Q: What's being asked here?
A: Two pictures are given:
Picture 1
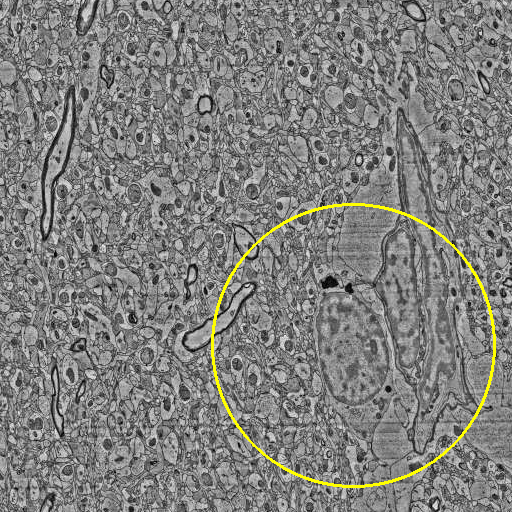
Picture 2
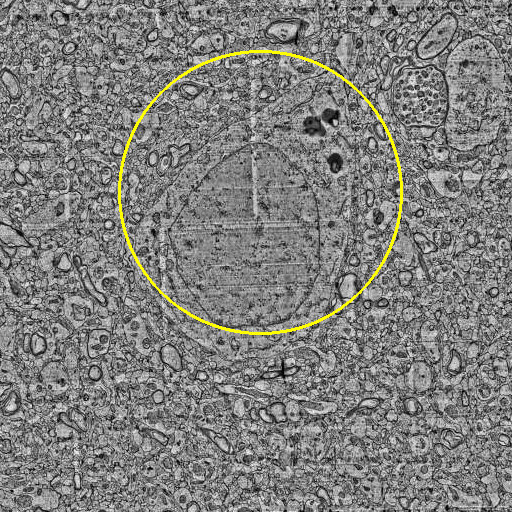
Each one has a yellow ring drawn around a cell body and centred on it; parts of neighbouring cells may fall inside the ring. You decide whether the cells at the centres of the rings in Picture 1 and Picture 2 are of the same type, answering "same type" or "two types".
two types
